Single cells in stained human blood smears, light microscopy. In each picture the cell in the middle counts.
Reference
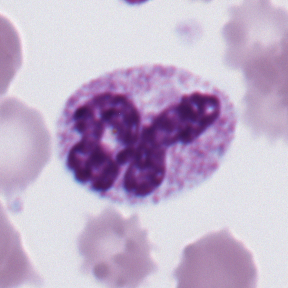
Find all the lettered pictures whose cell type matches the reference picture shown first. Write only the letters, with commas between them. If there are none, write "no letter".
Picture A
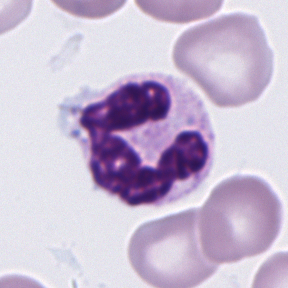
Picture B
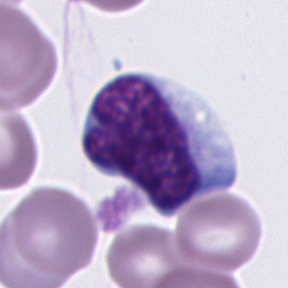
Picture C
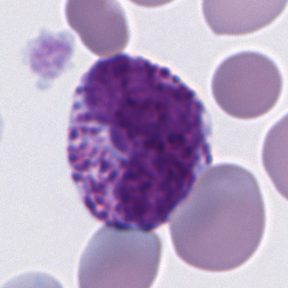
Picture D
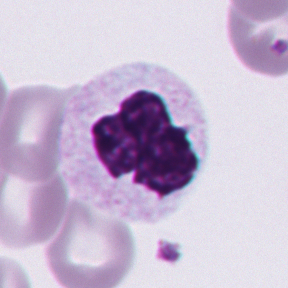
A, D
